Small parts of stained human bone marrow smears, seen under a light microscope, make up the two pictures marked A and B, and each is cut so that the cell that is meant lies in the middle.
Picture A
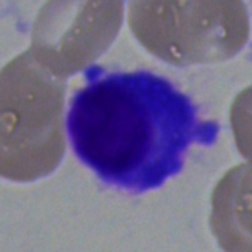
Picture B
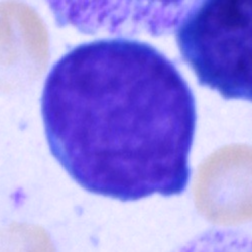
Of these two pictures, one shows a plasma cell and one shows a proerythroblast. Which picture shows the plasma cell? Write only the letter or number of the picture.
A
